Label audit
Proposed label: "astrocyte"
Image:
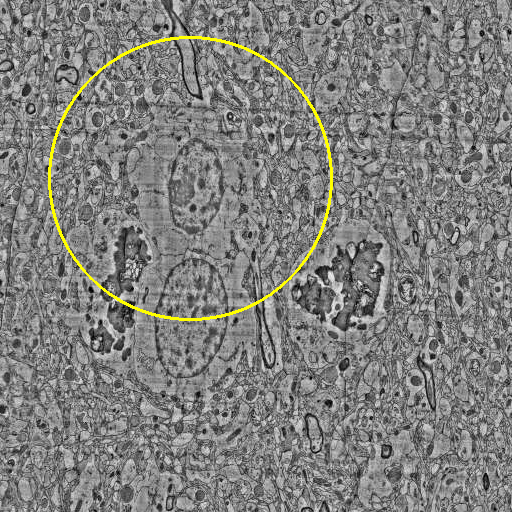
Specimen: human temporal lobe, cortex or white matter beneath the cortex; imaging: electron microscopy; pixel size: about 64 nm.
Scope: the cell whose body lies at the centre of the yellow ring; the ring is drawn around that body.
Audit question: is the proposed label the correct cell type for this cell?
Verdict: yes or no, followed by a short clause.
Yes, the label fits this cell.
